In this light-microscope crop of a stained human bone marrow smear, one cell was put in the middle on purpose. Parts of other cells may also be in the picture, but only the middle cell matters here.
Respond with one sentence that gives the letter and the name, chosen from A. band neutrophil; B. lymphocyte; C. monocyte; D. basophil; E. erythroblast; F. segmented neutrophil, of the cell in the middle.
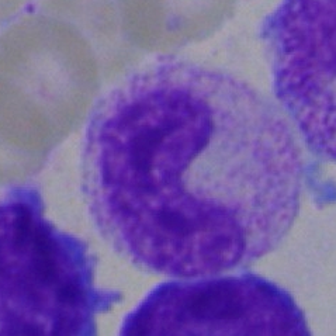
The central cell in this crop is a band neutrophil, corresponding to option A, the correct option.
